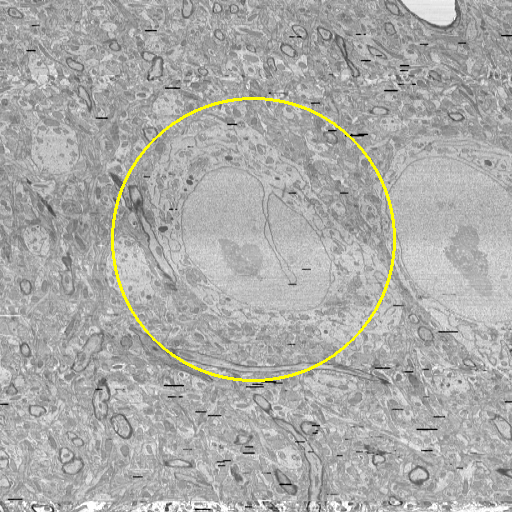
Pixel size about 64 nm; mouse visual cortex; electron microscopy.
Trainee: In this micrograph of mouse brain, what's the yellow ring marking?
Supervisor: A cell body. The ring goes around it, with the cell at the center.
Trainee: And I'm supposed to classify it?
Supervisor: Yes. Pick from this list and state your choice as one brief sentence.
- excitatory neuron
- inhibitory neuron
The cell at the ring's center is an inhibitory neuron.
